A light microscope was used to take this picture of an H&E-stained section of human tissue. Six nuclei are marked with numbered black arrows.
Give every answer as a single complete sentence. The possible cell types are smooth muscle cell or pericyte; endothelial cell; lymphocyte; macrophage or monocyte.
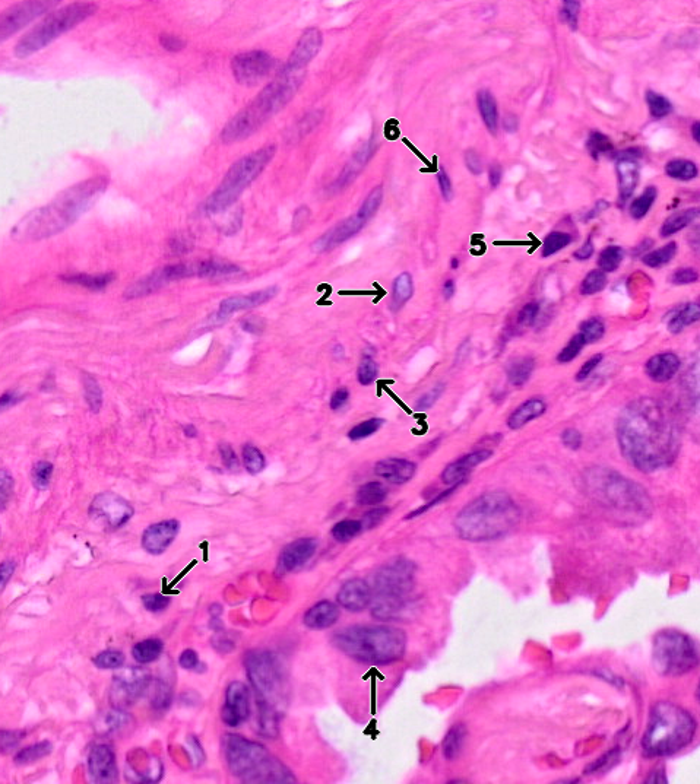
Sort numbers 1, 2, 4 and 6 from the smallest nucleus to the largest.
By area, going up from the smallest, they rank 6, 1, 2, 4.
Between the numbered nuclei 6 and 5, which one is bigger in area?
Number 5 is larger; its area is about 2 times that of number 6.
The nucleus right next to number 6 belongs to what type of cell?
The nucleus nearest to number 6 is that of a smooth muscle cell or pericyte.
